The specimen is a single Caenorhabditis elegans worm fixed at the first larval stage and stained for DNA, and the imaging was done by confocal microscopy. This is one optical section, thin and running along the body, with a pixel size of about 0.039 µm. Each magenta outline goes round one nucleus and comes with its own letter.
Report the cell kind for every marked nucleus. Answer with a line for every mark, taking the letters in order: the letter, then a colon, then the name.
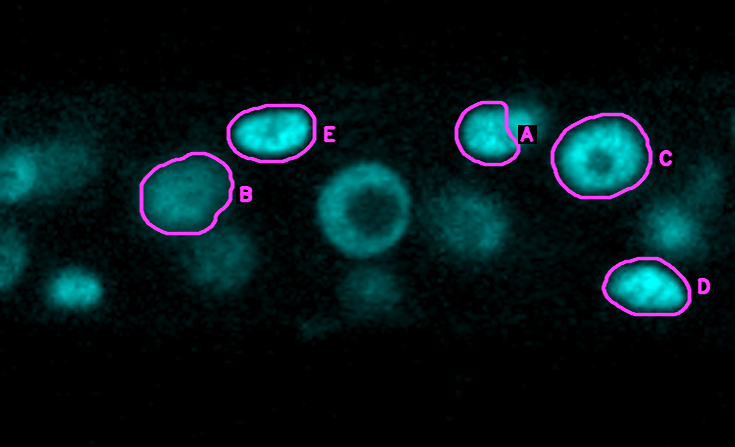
A: P cell (ventral epidermal blast cell)
B: seam cell
C: seam cell
D: body wall muscle cell
E: body wall muscle cell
